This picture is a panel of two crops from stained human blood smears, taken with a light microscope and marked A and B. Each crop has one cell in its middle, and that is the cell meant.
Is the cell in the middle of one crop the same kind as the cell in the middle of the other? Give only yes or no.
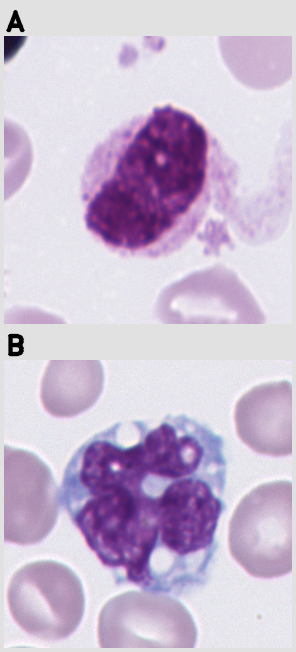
no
